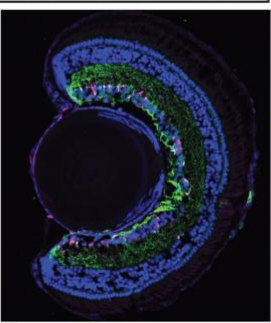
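A section through the retina curves as a cup around a round, dark lens at its left. Blue-stained nuclei form distinct stacked layers, with the densest outer nuclear band at the back of the cup. Green fluorescence fills the inner part of the retina, facing the lens, and extends as a band through the inner layers. Bright magenta puncta and small clusters lie along the innermost layer of the retina, in the ganglion cell layer, and are spread along much of the curve from the edge towards the centre of the retina.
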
